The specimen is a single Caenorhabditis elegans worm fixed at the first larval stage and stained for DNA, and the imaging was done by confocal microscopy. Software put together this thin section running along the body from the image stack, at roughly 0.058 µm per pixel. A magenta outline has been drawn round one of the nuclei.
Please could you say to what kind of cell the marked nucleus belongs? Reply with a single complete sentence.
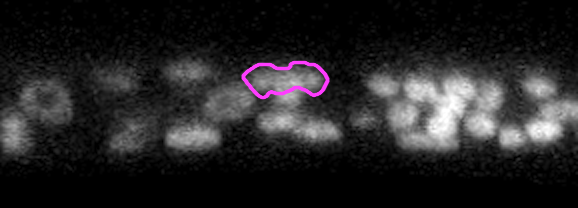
This nucleus is from a body wall muscle cell.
